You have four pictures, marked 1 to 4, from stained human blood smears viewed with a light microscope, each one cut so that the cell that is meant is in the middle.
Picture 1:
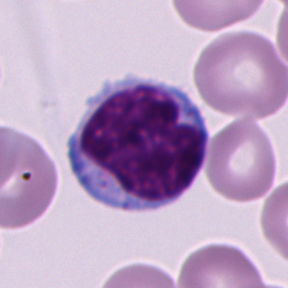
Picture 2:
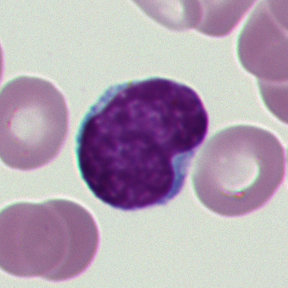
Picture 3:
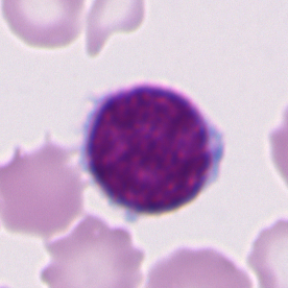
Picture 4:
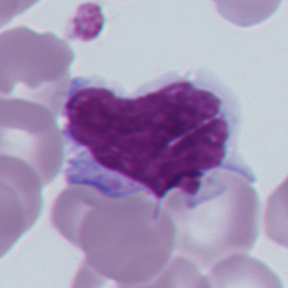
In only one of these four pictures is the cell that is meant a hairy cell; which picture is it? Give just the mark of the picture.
3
